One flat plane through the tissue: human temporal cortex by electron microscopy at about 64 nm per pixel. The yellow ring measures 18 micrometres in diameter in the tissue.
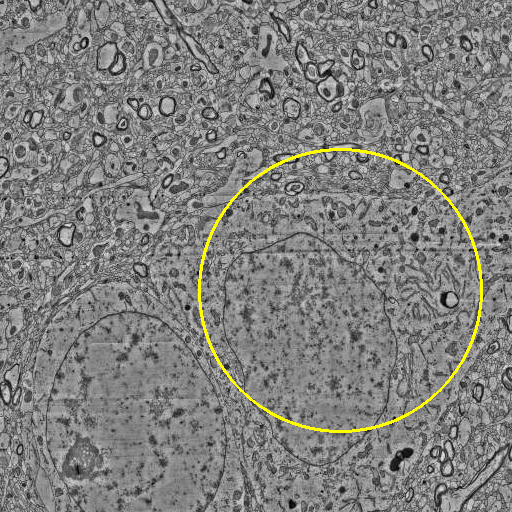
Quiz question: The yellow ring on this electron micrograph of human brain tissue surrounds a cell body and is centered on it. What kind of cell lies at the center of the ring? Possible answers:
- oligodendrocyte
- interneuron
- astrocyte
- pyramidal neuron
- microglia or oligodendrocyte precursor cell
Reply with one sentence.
The ring's center lies on a pyramidal neuron.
